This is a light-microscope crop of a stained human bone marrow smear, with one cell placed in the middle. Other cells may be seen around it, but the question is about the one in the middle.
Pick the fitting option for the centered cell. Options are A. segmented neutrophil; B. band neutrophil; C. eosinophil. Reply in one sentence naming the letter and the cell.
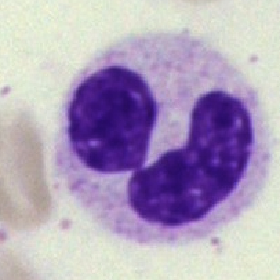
Here the right option is A, as the cell in the middle is a segmented neutrophil.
